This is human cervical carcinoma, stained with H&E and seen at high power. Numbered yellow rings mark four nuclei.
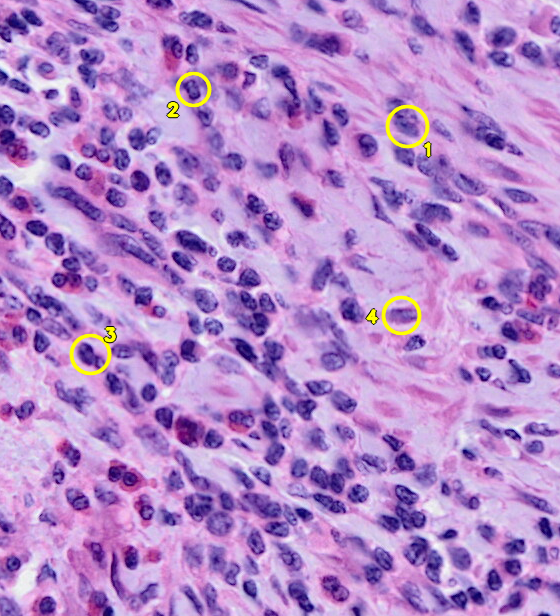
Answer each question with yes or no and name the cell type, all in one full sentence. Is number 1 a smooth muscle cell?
No, cell 1 is not a smooth muscle cell; a lymphocyte is the correct identification.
